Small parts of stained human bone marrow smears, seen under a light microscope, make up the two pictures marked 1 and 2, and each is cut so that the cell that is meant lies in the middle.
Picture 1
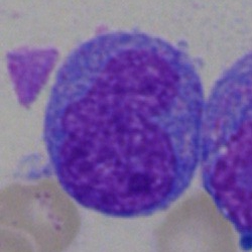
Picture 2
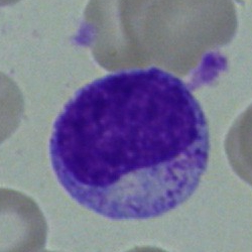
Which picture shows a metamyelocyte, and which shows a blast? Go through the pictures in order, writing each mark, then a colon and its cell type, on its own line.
1: blast
2: metamyelocyte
